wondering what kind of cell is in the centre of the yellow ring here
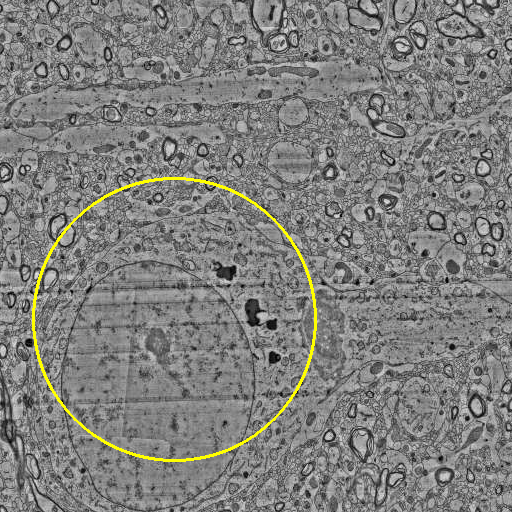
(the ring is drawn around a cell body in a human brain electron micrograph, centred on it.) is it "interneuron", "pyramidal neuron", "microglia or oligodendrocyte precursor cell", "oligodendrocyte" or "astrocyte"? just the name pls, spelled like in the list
pyramidal neuron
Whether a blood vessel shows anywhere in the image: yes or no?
No, none is visible.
